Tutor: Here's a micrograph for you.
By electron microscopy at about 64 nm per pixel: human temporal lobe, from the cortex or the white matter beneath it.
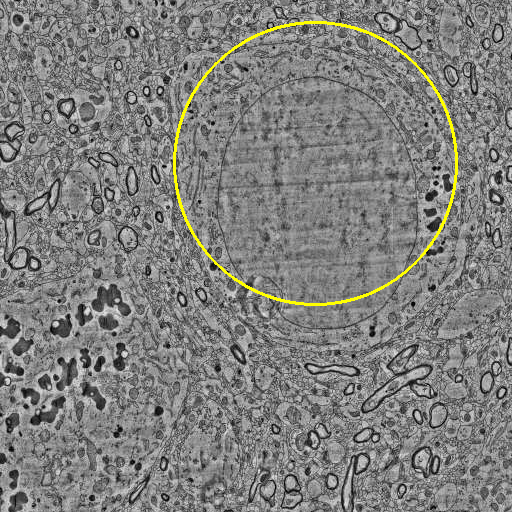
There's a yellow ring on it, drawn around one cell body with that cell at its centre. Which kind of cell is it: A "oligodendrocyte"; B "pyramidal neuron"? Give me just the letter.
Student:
B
